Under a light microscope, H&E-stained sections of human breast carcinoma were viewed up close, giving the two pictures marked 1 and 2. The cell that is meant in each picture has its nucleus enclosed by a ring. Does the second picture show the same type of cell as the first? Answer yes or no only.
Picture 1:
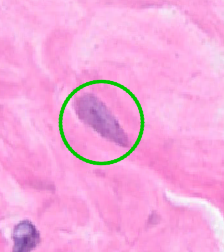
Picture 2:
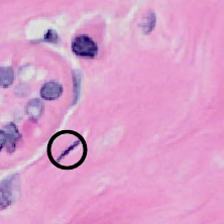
yes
